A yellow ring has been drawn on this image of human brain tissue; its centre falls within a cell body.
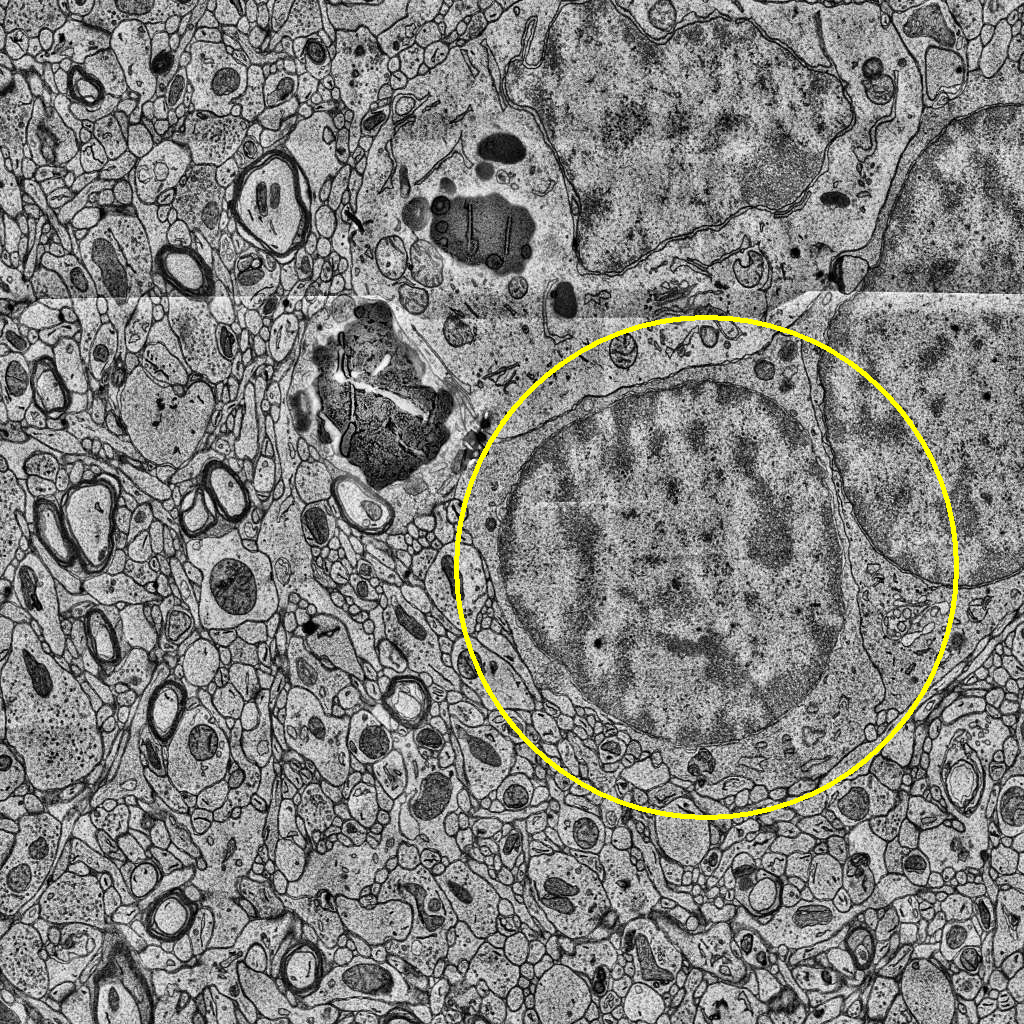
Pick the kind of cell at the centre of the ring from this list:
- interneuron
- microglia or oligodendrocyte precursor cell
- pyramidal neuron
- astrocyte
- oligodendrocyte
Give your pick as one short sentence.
The centre of the ring holds an oligodendrocyte.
